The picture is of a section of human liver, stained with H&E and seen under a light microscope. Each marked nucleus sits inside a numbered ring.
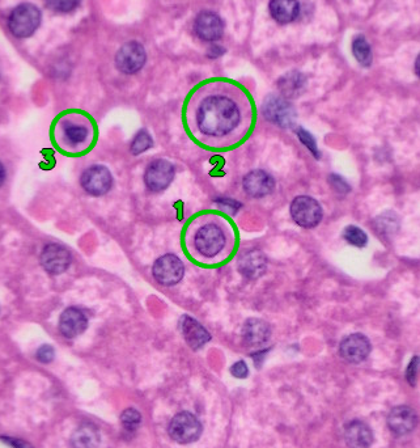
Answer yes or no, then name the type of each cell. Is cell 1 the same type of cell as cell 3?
No, unlike cell 3, which is a fibroblast or stellate cell, cell 1 is a hepatocyte.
